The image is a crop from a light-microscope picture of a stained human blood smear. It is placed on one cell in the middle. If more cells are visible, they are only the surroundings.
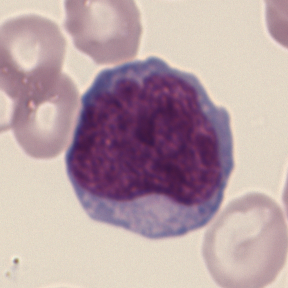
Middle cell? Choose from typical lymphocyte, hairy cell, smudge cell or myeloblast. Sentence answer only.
At the center of the crop sits a myeloblast.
